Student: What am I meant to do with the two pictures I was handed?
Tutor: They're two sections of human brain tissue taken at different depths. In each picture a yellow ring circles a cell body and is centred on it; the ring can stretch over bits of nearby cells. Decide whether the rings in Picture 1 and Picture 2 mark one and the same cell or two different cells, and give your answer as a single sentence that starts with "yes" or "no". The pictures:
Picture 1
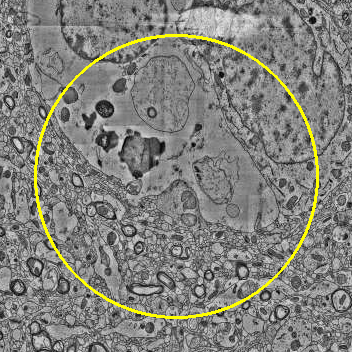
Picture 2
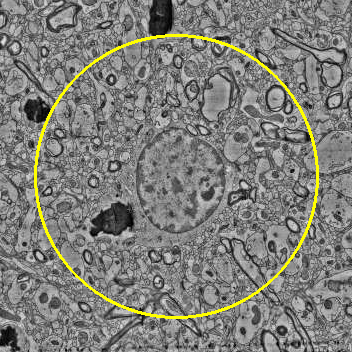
No, the two rings are drawn around two distinct cells.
